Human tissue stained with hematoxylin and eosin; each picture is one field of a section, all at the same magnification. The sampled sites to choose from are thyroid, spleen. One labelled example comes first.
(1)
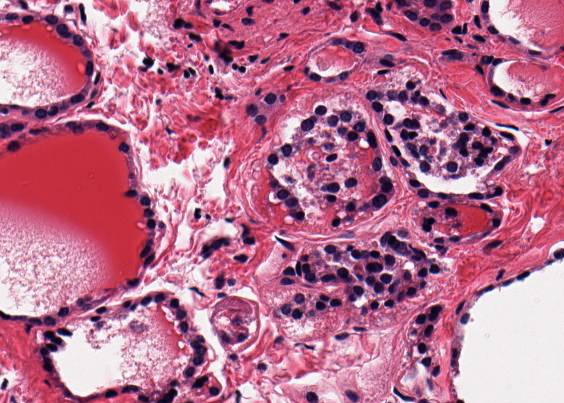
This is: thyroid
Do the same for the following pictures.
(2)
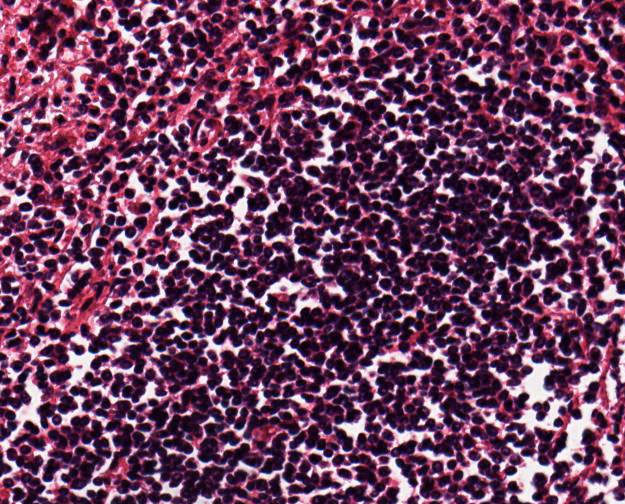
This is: spleen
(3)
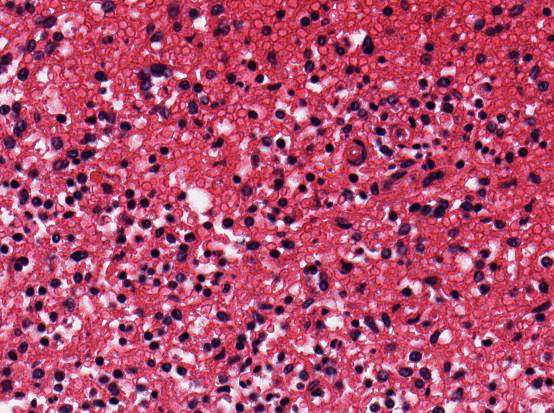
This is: spleen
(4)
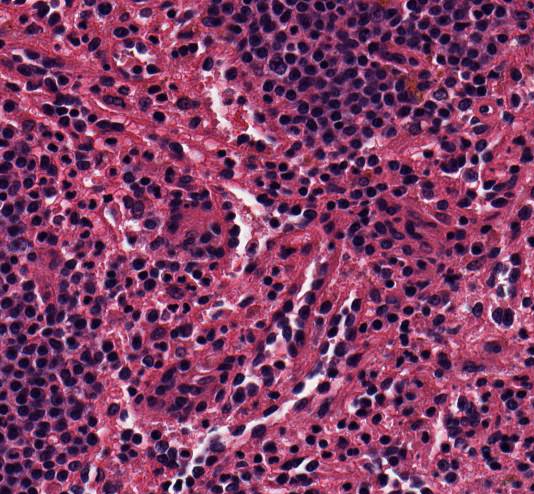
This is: spleen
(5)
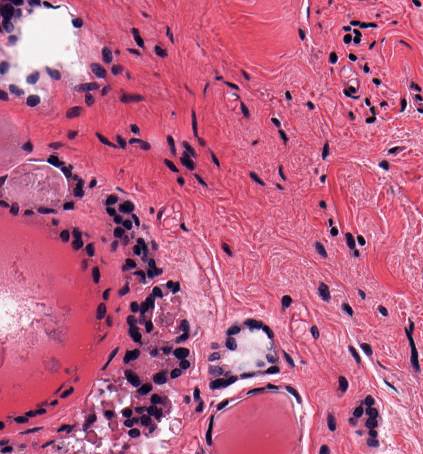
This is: thyroid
